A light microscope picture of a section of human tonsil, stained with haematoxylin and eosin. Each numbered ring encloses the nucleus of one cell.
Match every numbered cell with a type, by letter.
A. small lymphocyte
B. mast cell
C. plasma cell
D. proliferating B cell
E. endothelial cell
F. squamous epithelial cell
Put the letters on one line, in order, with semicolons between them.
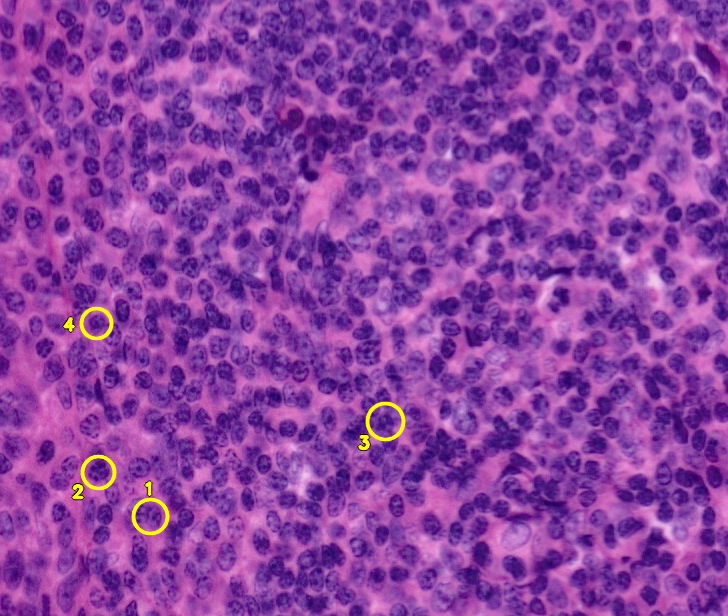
C; C; A; C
